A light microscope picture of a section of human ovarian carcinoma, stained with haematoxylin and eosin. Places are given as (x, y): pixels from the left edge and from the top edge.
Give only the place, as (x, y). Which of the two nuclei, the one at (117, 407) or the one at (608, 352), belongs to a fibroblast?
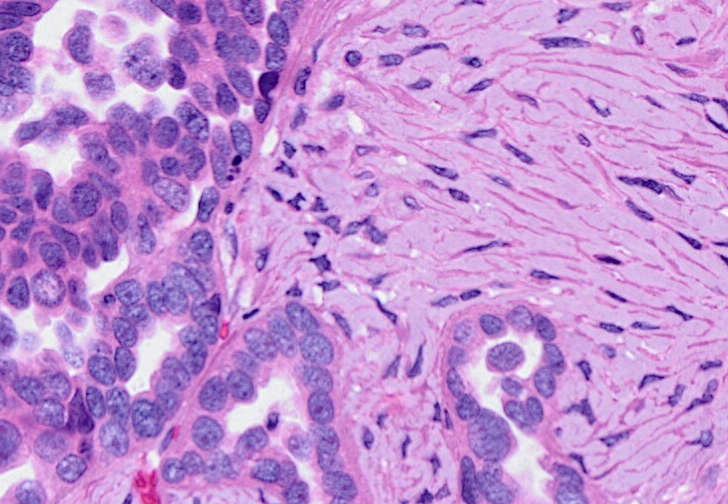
(608, 352)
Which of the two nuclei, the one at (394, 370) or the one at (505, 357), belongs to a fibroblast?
(394, 370)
